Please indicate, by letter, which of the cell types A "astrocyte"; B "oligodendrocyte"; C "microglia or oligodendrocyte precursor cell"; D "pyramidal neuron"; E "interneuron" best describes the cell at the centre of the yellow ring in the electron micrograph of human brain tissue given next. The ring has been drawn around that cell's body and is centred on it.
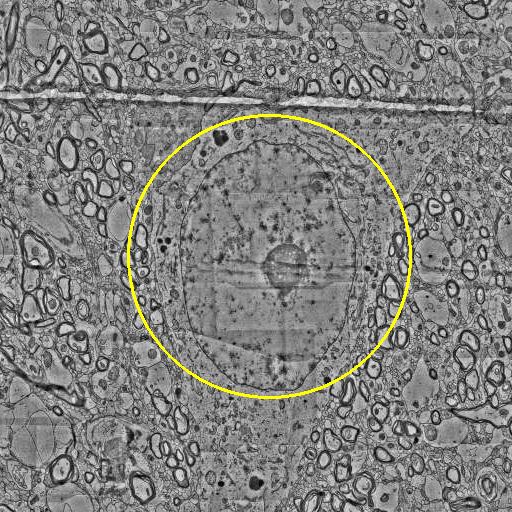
D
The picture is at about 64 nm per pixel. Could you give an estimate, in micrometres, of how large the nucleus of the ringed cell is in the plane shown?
About 16 by 12 micrometres in this plane.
